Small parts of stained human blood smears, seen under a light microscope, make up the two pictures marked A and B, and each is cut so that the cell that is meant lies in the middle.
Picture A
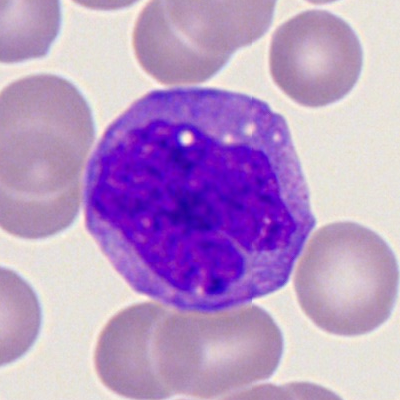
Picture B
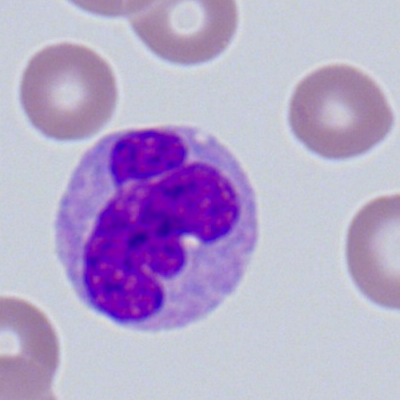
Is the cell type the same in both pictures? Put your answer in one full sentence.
Yes, the two pictures both show monocytes.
